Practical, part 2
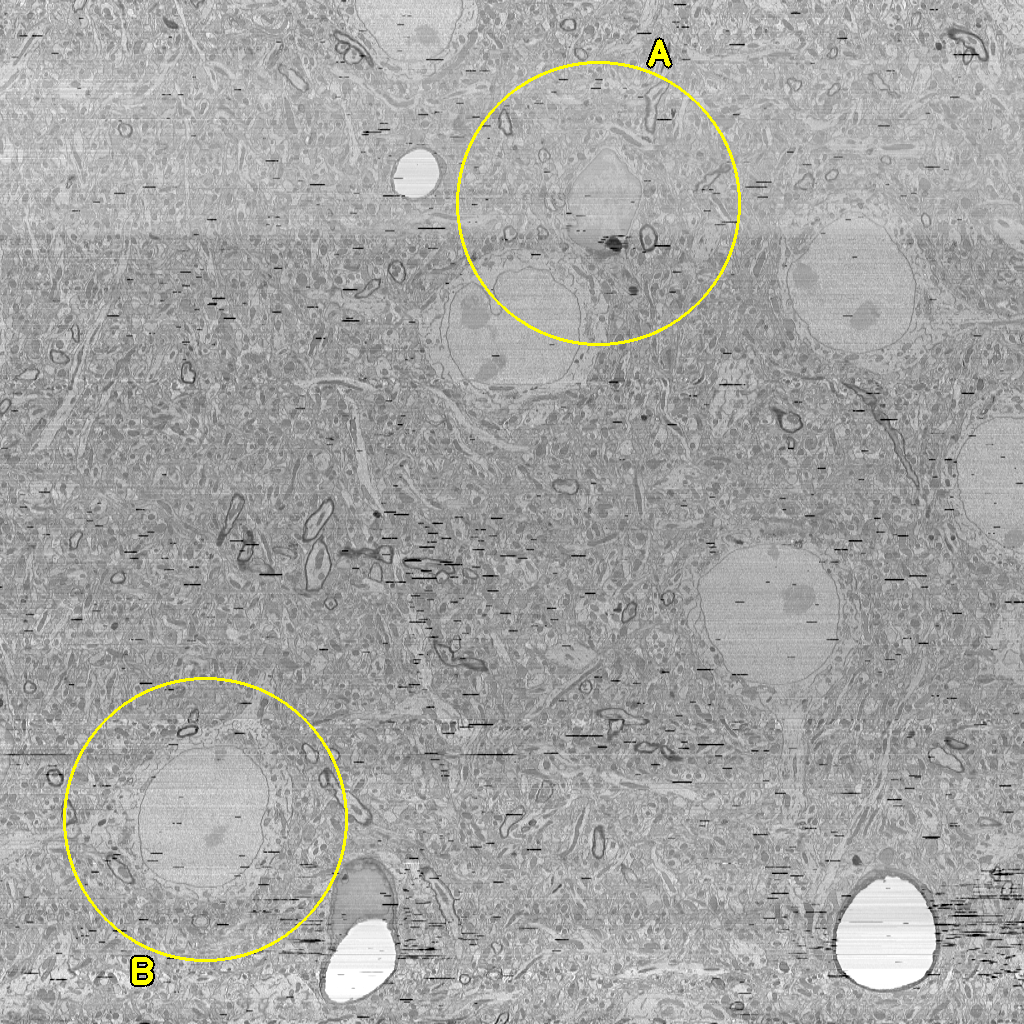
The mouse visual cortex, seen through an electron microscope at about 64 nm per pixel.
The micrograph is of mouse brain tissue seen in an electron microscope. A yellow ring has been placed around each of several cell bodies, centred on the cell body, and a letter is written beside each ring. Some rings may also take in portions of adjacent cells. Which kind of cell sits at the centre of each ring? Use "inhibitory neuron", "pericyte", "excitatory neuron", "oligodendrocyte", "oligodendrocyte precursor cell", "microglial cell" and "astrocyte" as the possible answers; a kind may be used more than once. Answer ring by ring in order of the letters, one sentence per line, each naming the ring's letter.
Ring A sits on a microglial cell.
Ring B sits on an excitatory neuron.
